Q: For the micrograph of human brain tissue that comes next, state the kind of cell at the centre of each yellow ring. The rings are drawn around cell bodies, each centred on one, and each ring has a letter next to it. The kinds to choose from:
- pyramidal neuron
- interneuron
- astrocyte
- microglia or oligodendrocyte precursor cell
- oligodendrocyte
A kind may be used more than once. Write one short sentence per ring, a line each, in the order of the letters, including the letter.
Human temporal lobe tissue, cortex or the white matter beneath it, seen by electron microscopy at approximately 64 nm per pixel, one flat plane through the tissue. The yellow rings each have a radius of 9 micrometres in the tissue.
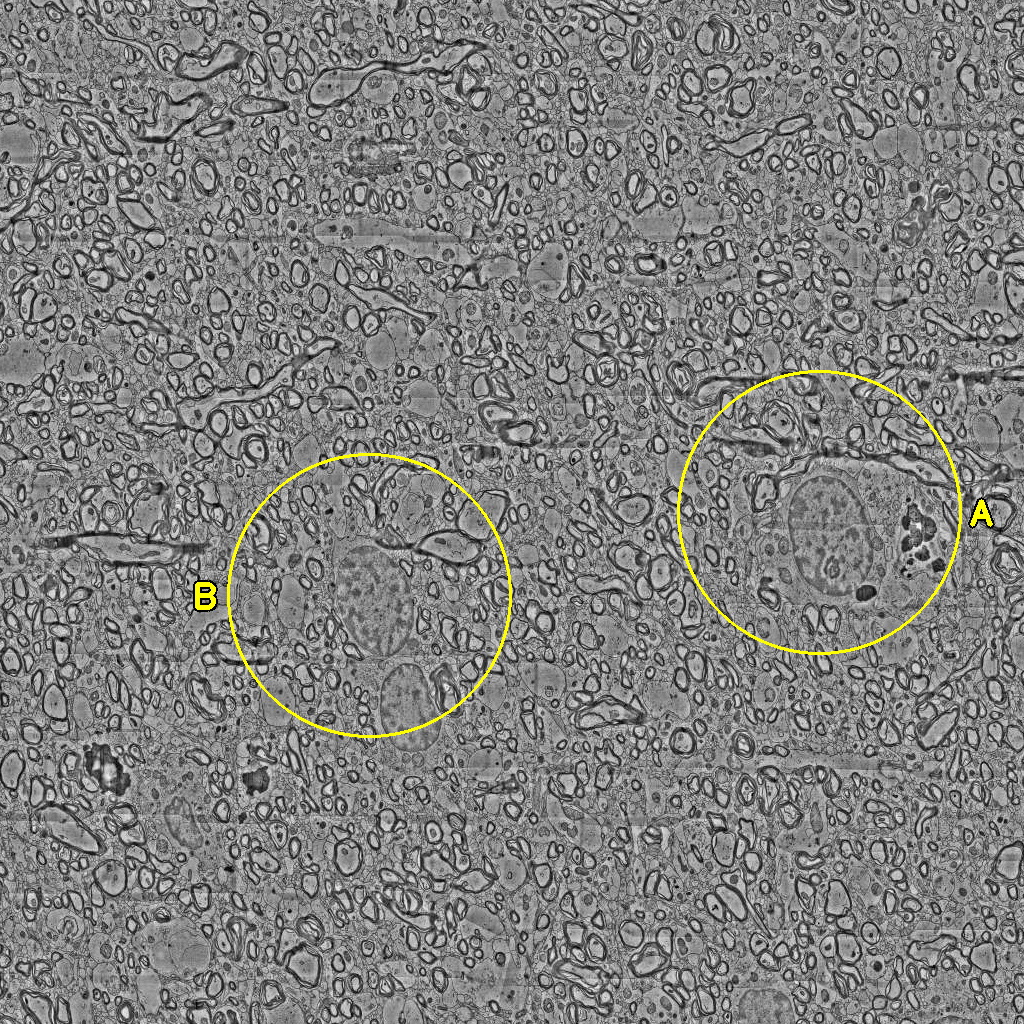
The cell ringed as A is an oligodendrocyte.
The cell ringed as B is an oligodendrocyte.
